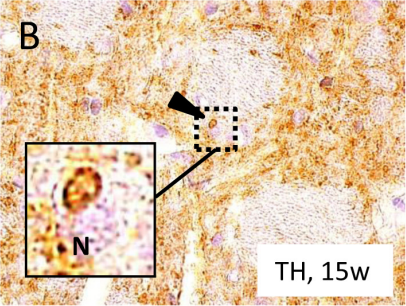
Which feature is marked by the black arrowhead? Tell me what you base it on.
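The inset shows this body lying against a pale cell with a purple nucleus. On this evidence: spheroid.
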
